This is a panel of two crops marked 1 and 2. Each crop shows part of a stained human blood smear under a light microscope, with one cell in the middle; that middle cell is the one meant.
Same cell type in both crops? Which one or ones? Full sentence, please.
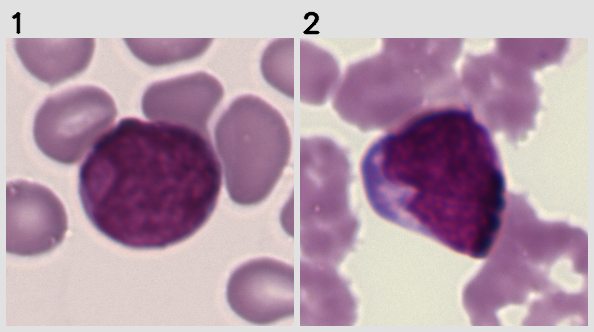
Yes, the central cells in both of the crops are myeloblasts.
